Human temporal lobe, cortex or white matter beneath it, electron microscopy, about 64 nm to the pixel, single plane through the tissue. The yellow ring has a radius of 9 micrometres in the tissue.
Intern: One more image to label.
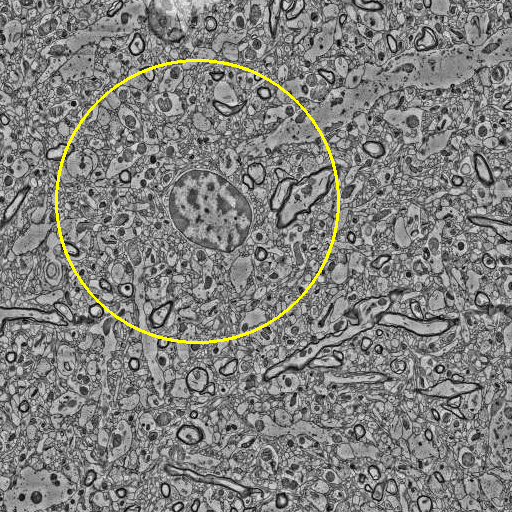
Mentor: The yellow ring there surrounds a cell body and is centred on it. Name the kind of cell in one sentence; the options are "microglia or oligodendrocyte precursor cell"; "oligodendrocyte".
The ring marks the cell body of a microglial cell or oligodendrocyte precursor cell.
